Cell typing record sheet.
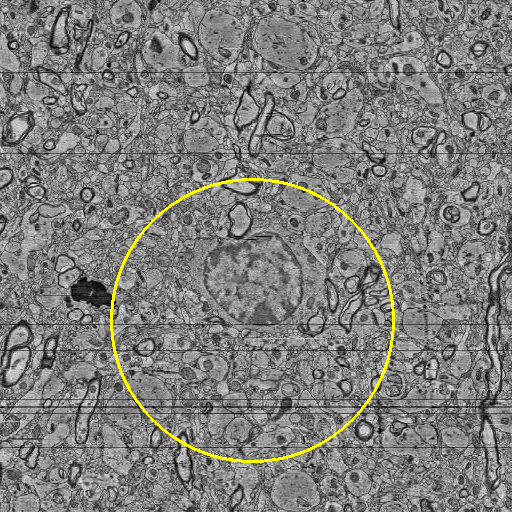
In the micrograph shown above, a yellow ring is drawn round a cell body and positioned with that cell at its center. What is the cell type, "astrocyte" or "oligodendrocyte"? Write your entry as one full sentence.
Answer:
The cell body at the center of the ring belongs to an oligodendrocyte.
